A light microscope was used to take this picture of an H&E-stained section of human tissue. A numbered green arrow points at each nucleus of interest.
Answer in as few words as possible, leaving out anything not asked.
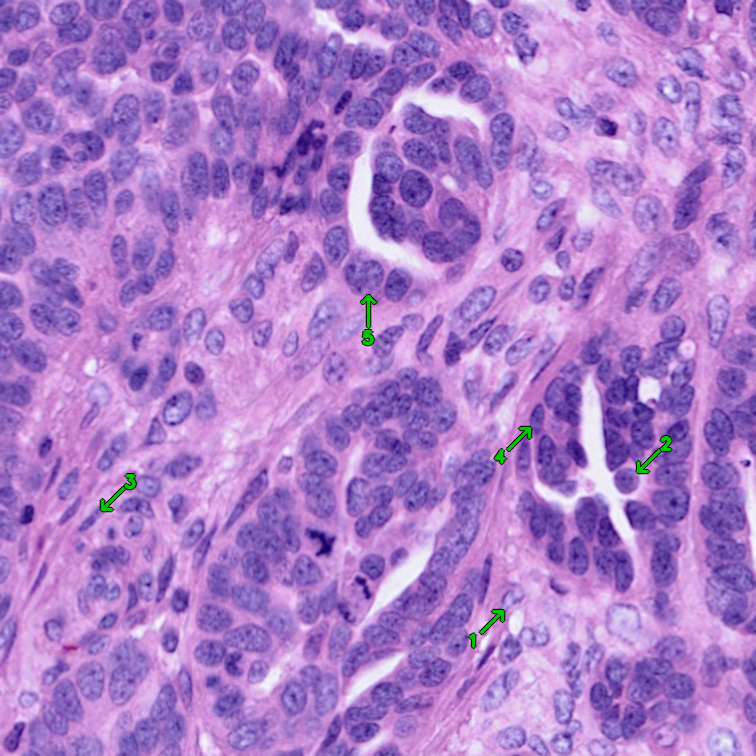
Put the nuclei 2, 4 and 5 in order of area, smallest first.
4, 2, 5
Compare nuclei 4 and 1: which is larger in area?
1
